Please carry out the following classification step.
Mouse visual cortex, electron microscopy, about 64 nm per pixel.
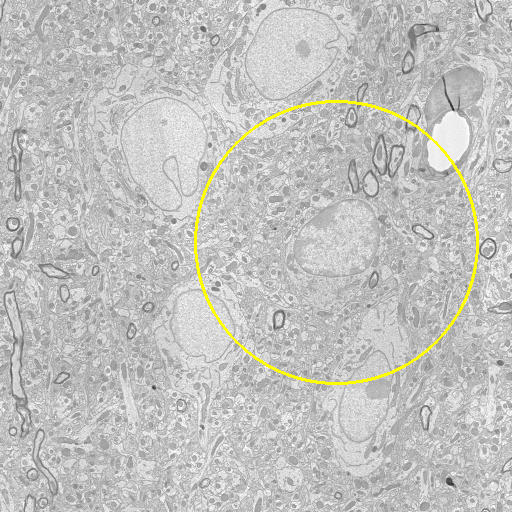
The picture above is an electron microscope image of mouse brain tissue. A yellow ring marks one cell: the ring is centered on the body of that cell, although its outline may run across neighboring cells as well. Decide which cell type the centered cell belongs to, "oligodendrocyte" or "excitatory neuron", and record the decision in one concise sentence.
The cell centered in the yellow ring is an oligodendrocyte.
